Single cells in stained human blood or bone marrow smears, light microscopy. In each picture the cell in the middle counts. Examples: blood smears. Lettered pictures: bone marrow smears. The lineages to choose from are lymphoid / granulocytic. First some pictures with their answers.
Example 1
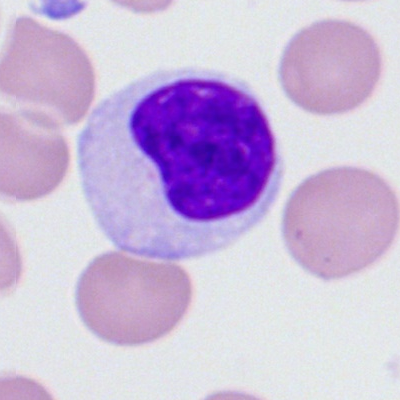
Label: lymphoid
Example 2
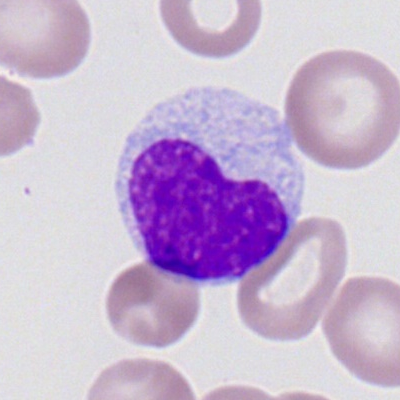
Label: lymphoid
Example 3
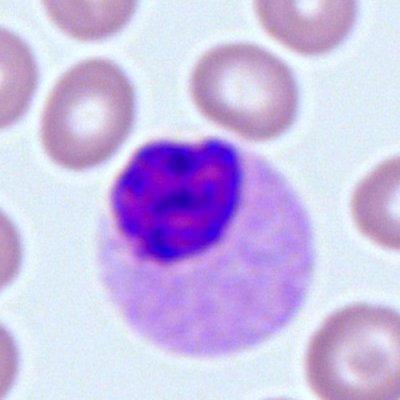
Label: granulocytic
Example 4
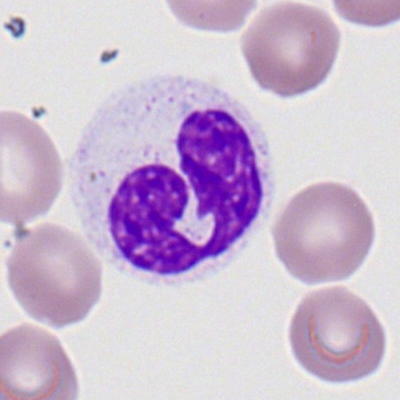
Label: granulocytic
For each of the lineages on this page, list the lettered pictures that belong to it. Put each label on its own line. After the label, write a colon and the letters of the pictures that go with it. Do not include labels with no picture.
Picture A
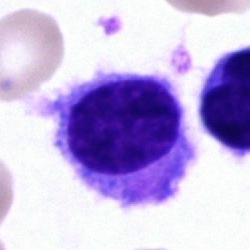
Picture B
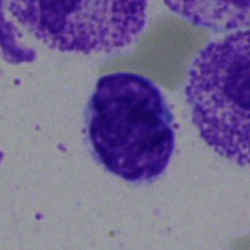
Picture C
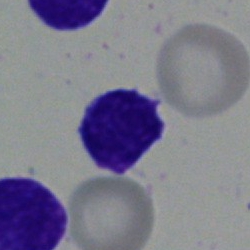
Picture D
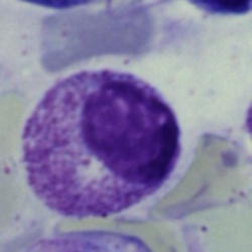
lymphoid: A, B, C
granulocytic: D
